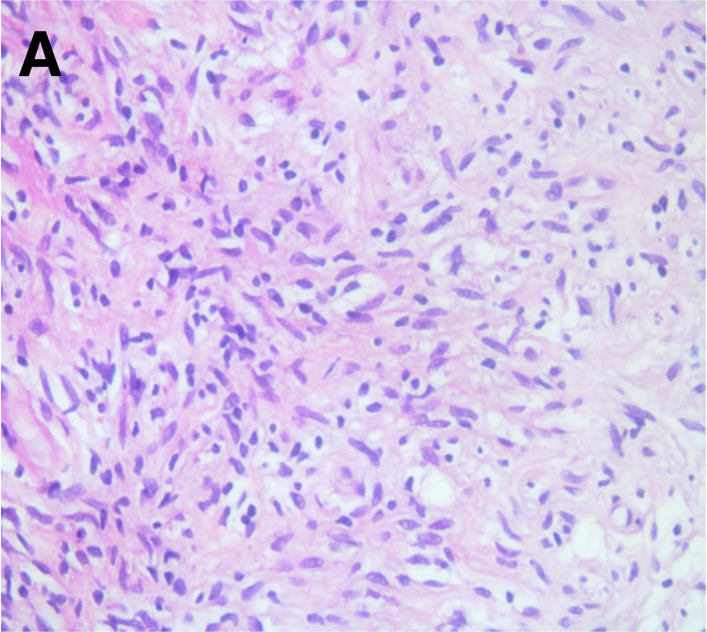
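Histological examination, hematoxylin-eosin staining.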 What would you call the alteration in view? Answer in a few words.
spindle cell proliferation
